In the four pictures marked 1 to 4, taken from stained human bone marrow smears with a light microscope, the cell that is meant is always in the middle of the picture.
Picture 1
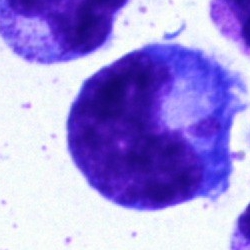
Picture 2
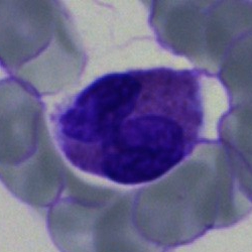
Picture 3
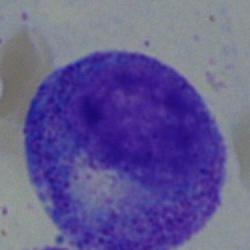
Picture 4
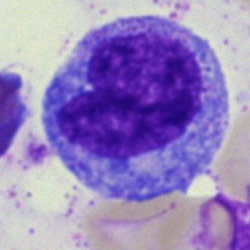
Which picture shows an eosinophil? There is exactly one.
2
